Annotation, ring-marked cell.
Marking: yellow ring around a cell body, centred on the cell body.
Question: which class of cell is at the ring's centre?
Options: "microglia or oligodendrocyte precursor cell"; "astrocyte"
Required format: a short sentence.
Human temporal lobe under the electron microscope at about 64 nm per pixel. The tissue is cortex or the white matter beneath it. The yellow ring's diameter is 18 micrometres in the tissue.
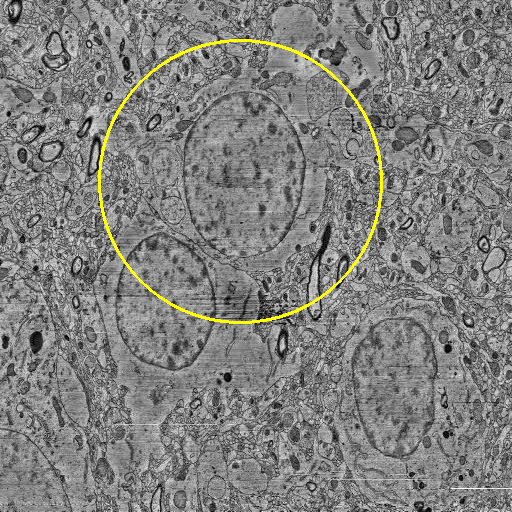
At the ring's centre is an astrocyte.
